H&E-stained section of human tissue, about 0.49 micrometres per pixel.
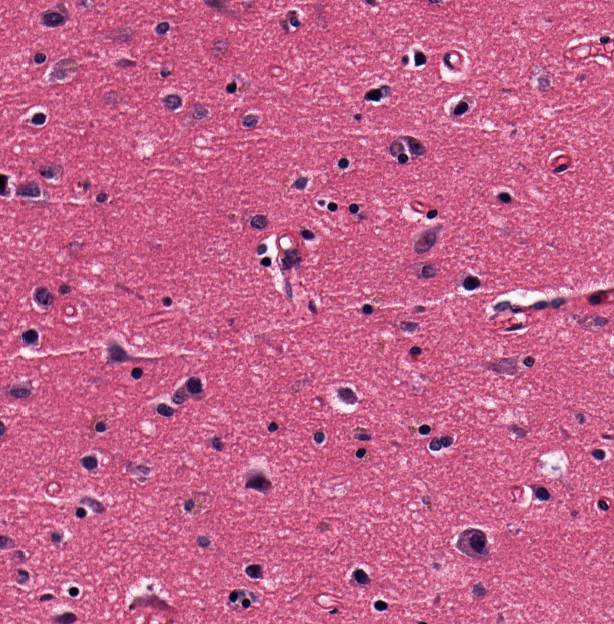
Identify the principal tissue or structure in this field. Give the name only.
cerebral cortex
